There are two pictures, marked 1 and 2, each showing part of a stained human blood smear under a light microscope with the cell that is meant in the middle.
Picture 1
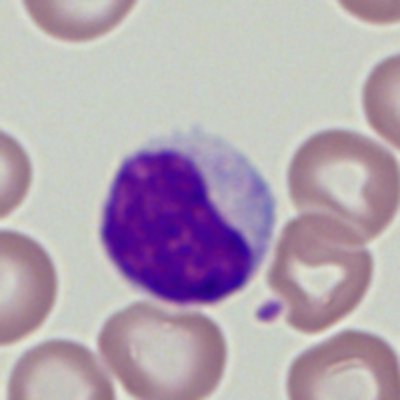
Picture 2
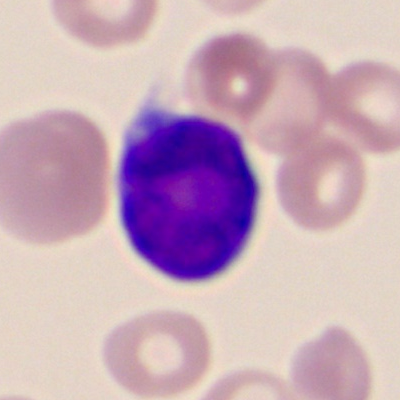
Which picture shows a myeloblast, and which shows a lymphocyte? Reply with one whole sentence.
Picture 1 is of a lymphocyte, and picture 2 is of a myeloblast.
